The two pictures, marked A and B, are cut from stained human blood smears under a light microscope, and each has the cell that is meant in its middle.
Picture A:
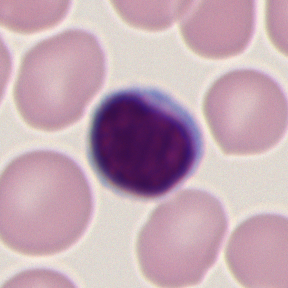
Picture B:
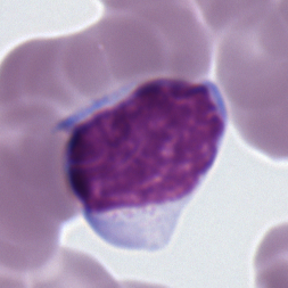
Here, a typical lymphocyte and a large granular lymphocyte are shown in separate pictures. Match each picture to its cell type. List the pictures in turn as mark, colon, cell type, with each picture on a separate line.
A: typical lymphocyte
B: large granular lymphocyte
